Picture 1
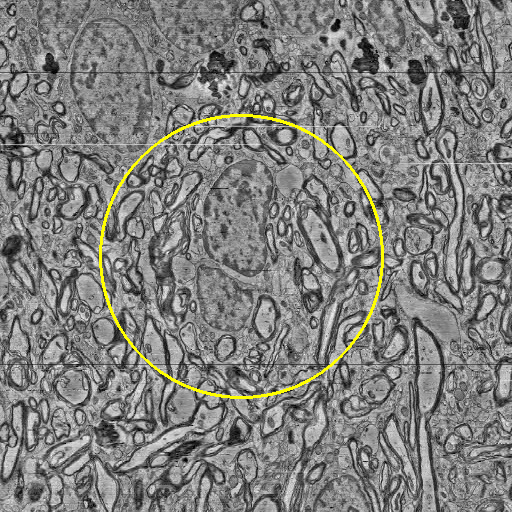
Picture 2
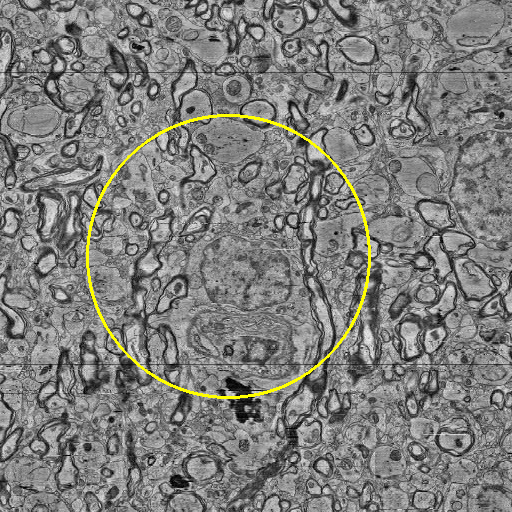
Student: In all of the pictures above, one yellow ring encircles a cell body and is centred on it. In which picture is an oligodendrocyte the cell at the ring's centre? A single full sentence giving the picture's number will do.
Picture number 2 has the wanted cell right at the centre of its ring.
